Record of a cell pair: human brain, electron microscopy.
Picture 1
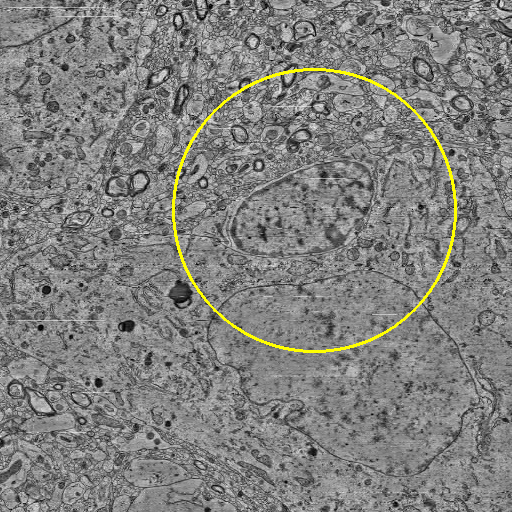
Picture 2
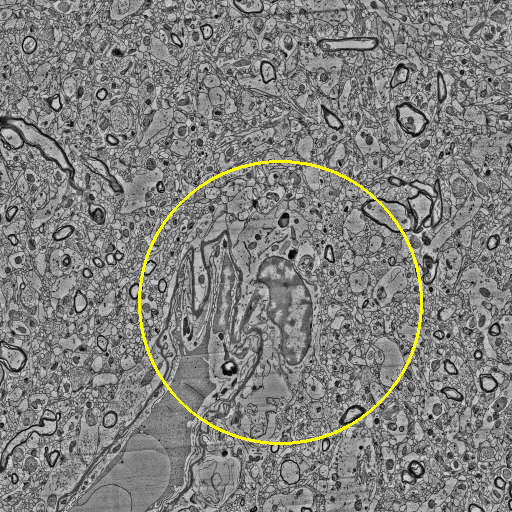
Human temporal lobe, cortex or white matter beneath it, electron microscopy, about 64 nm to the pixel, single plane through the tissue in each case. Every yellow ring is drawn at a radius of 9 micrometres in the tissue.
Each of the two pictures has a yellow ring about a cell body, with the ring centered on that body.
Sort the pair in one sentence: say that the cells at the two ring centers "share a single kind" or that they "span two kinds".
The cells centered in the rings of Pictures 1 and 2 share a single kind.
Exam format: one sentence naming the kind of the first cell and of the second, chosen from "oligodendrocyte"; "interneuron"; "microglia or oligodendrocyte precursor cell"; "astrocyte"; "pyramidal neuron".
Each cell, in the first picture and the second, is a microglial cell or oligodendrocyte precursor cell.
